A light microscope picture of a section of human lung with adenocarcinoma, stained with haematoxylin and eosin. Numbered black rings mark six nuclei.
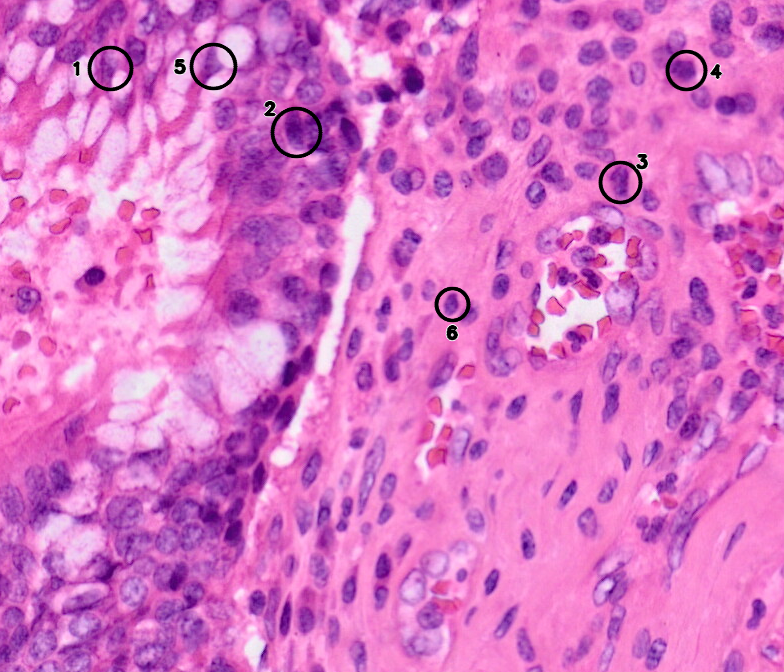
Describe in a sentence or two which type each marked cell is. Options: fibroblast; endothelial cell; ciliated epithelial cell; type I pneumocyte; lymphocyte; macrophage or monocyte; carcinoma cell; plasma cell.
Cells 1, 2 and 5 are ciliated epithelial cells. Cells 3 and 4 are plasma cells. Cell 6 is a lymphocyte.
